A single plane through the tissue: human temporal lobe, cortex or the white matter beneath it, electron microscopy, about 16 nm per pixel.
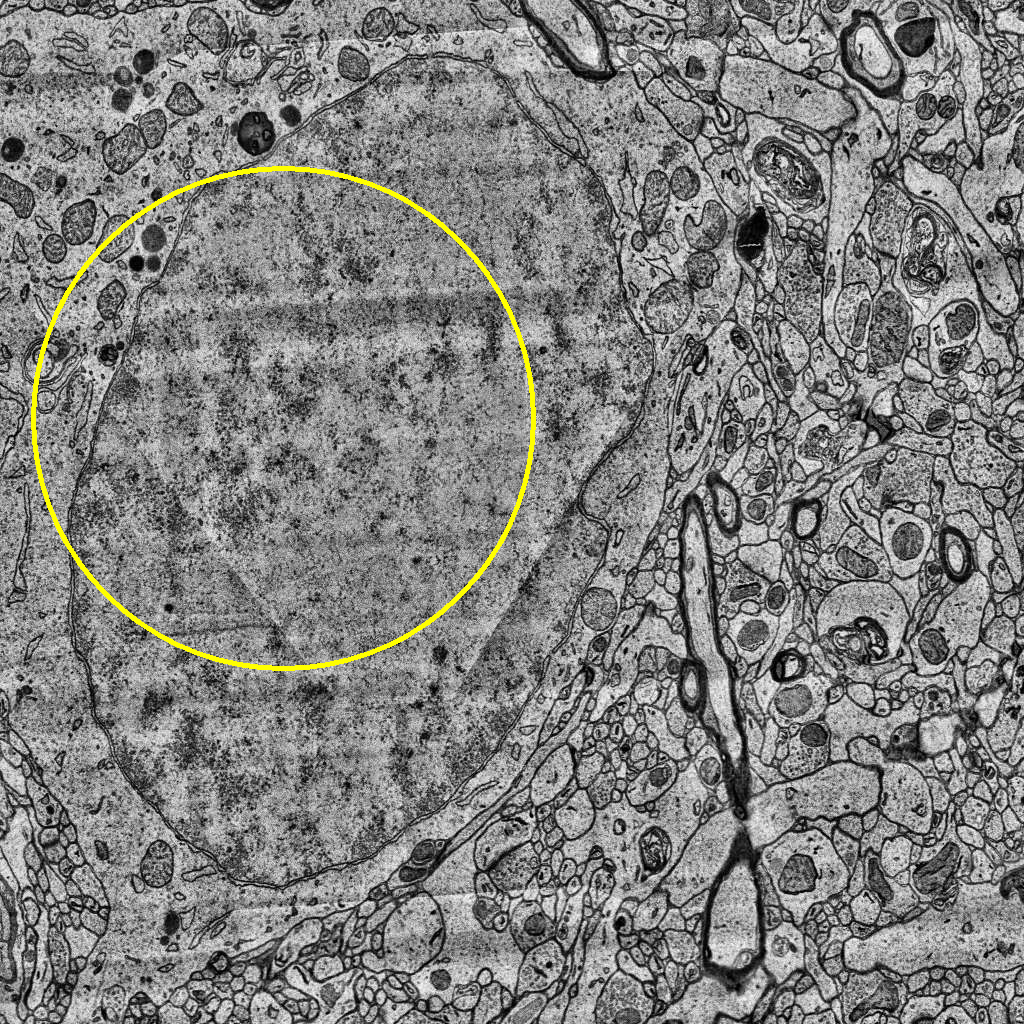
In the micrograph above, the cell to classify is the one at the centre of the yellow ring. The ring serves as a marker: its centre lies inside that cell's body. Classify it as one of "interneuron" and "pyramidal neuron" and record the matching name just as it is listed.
interneuron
